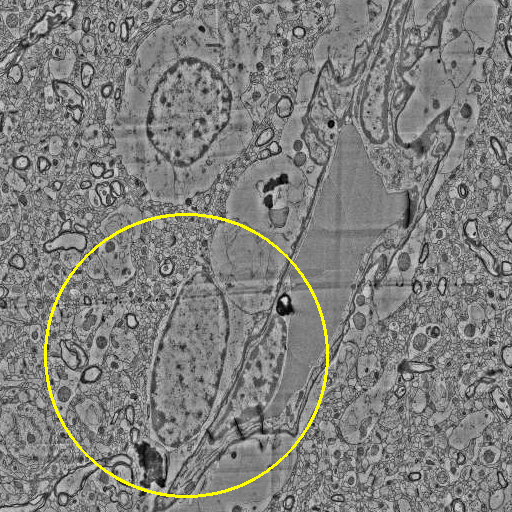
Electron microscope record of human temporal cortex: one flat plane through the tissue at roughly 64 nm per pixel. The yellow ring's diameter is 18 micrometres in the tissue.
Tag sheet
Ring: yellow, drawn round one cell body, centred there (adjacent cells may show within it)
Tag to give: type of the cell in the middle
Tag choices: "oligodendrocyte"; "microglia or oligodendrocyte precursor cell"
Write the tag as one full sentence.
I tag the cell centred in the yellow ring as a microglial cell or oligodendrocyte precursor cell in this picture.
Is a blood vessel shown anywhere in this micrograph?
Yes, a vessel shows somewhere in the image.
